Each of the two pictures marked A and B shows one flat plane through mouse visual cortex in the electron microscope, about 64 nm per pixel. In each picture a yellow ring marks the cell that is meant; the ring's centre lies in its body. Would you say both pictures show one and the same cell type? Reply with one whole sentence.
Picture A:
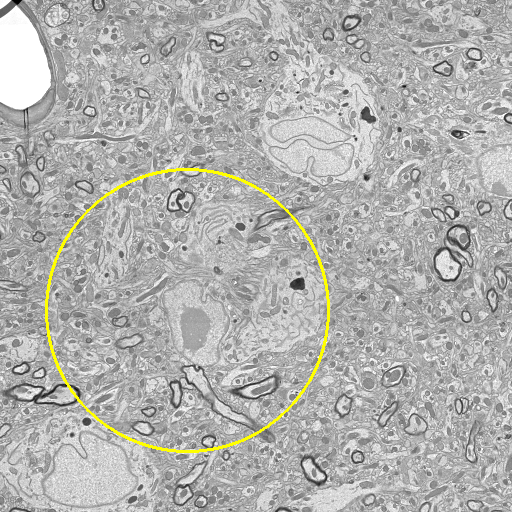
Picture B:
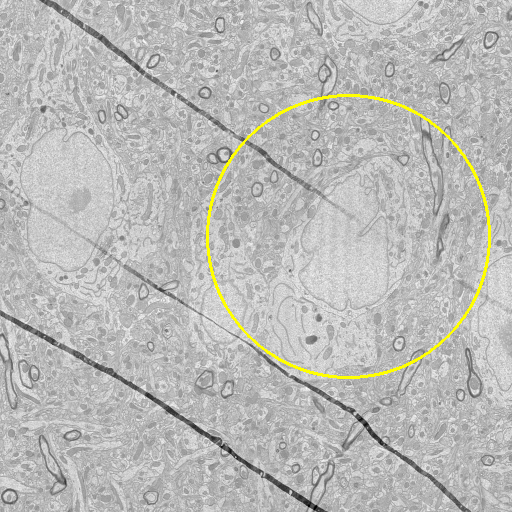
No, picture A shows an oligodendrocyte precursor cell and picture B shows an inhibitory neuron.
